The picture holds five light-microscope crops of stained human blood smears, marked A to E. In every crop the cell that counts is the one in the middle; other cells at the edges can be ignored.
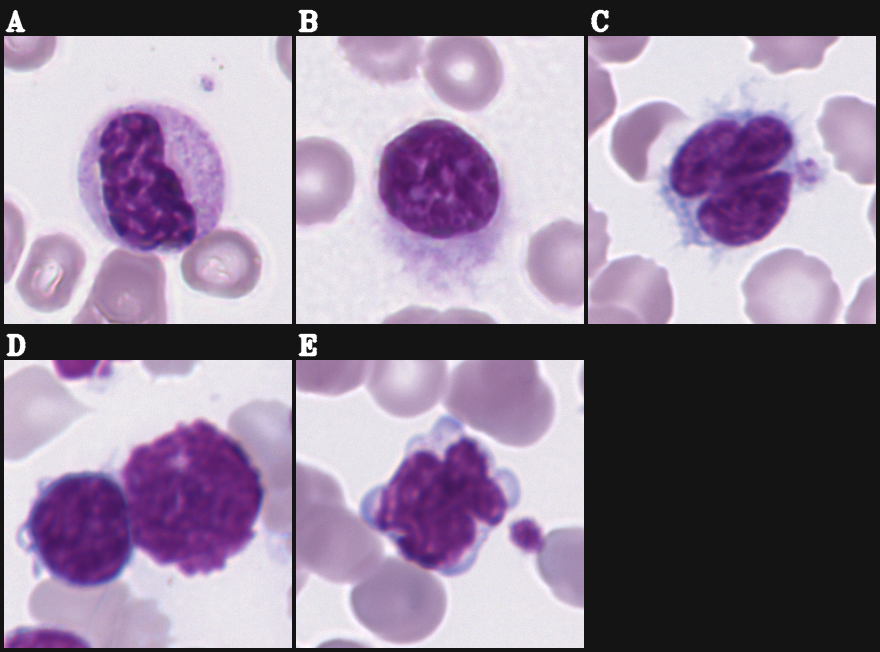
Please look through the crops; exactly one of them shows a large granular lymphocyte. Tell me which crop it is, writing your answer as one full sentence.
On review of the set, crop E is the one showing a large granular lymphocyte.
